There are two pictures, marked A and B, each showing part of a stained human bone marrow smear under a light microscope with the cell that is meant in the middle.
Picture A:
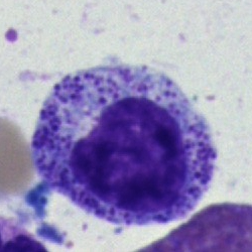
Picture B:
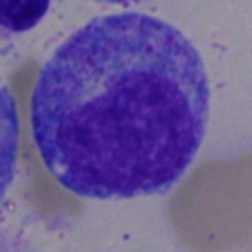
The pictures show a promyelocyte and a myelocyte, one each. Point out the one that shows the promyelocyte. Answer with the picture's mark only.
B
